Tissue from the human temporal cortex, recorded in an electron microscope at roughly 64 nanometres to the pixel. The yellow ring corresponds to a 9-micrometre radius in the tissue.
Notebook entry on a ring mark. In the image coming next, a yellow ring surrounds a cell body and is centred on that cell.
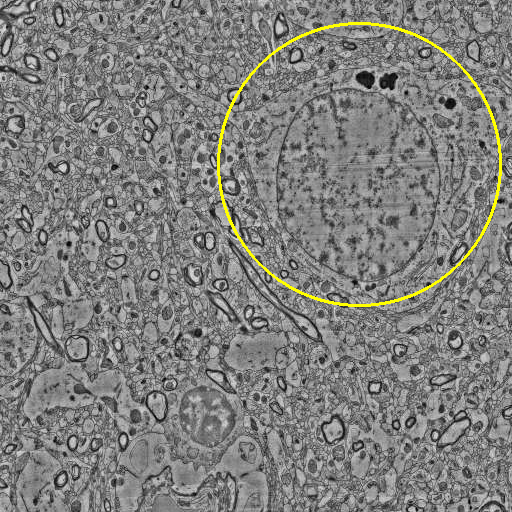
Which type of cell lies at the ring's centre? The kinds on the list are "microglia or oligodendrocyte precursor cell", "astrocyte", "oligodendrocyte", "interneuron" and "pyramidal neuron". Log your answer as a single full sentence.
Centred in the yellow ring is a pyramidal neuron, the cell recorded for this image.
